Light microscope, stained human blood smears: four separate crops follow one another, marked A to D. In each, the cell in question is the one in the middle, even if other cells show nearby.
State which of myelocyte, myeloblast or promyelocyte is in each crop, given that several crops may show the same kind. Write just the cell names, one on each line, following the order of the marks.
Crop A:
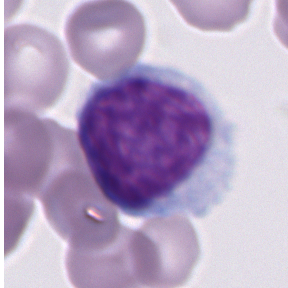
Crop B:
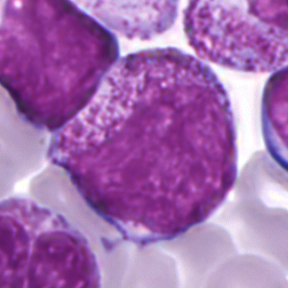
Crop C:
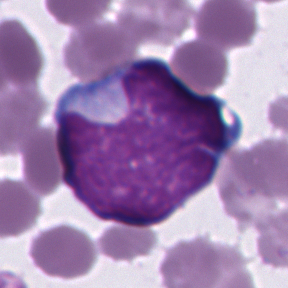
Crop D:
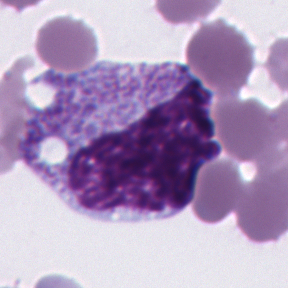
myeloblast
promyelocyte
myeloblast
myelocyte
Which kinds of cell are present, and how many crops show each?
myeloblast: 2
promyelocyte: 1
myelocyte: 1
